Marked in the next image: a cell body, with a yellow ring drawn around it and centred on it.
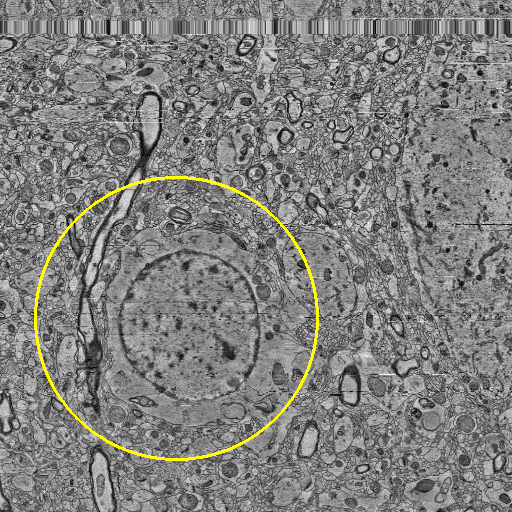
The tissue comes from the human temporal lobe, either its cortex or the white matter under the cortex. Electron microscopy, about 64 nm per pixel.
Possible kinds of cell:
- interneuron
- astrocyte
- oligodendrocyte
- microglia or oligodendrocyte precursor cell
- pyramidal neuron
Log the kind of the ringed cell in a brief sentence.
The ringed cell body is that of an astrocyte.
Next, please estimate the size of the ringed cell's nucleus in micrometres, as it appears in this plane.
The nucleus measures about 10 micrometers across in this plane.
